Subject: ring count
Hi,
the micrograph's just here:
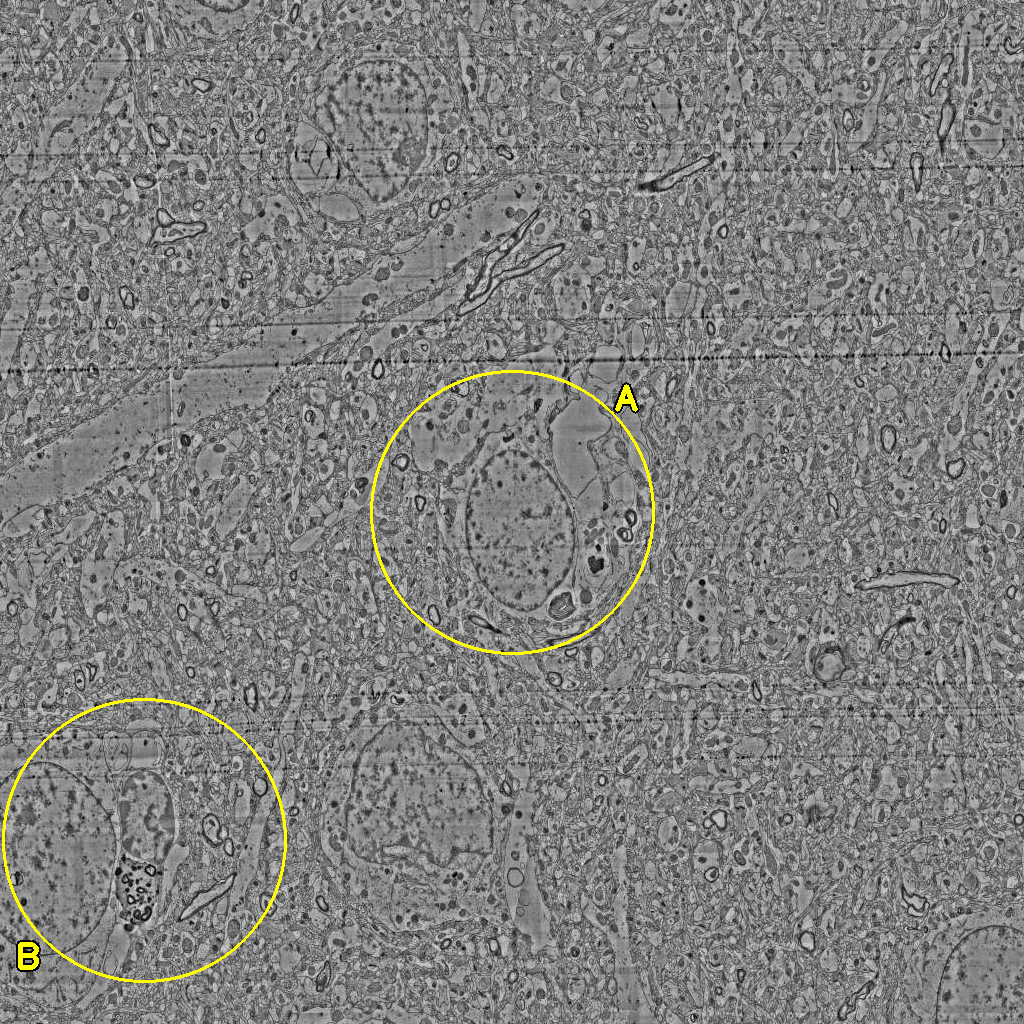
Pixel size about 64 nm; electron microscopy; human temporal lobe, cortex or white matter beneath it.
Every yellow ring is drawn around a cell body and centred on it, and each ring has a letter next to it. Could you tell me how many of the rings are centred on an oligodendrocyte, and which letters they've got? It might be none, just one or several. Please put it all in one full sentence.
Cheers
No yellow ring takes an oligodendrocyte as its centre, and the count is zero as a result.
